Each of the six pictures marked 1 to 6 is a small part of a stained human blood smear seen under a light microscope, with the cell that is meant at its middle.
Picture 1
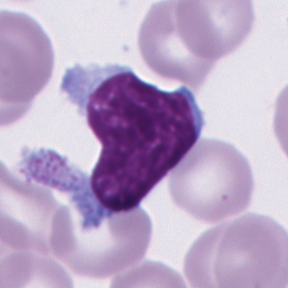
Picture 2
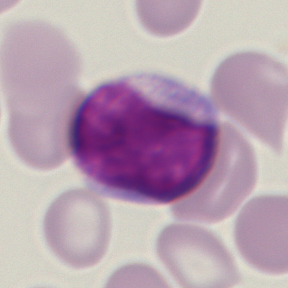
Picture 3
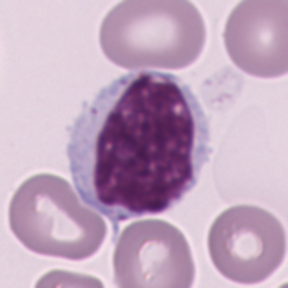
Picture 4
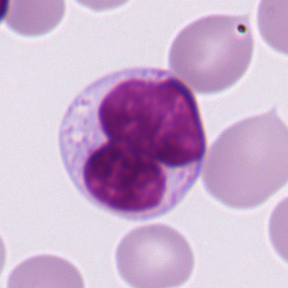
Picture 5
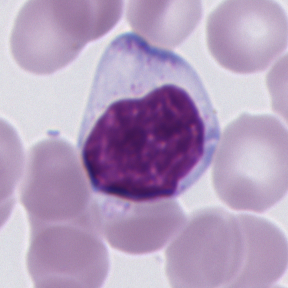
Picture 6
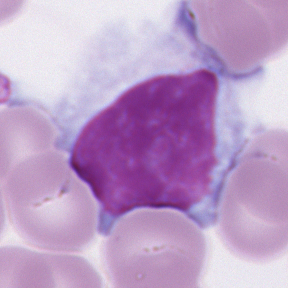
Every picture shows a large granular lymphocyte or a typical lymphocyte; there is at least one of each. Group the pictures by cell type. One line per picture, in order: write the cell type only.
typical lymphocyte
large granular lymphocyte
large granular lymphocyte
large granular lymphocyte
large granular lymphocyte
typical lymphocyte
